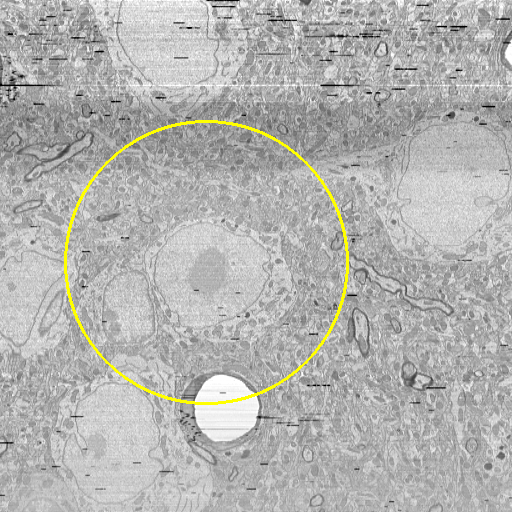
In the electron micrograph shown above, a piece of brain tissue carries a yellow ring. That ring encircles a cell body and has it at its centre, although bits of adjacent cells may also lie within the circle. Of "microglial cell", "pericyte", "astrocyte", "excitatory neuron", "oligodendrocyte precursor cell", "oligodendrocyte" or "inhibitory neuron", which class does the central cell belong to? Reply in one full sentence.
The cell body at the centre of the yellow ring belongs to an inhibitory neuron.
